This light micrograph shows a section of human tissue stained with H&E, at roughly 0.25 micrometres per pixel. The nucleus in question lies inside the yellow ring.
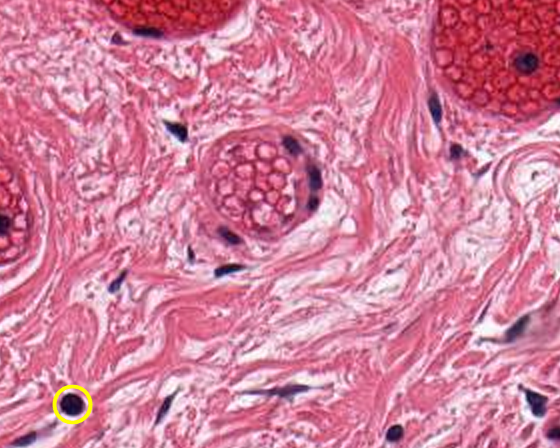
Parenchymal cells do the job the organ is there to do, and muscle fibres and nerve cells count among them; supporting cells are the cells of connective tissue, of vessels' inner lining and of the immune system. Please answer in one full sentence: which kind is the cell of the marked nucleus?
A supporting cell is the cell in which the marked nucleus is found.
